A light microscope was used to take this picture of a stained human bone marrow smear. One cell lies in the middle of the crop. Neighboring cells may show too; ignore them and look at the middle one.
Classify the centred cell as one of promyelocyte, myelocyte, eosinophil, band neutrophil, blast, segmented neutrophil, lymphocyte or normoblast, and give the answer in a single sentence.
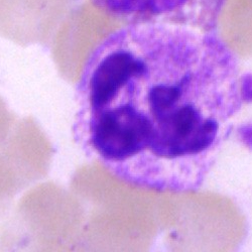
At the crop's centre, the cell is a segmented neutrophil.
